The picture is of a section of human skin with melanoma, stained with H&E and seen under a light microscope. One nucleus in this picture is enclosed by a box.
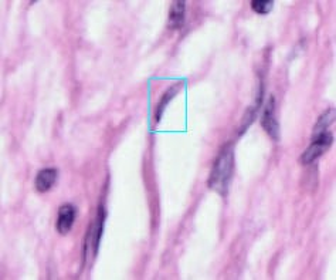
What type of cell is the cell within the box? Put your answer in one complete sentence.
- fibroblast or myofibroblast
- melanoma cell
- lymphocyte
Considered by cell type, the cell within the box is a fibroblast or myofibroblast.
